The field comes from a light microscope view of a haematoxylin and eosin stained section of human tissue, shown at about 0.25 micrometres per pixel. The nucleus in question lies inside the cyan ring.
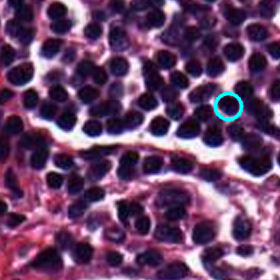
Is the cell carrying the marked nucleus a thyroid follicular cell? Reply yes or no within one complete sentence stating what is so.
No, the marked nucleus does not come from a thyroid follicular cell but from a supporting cell.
